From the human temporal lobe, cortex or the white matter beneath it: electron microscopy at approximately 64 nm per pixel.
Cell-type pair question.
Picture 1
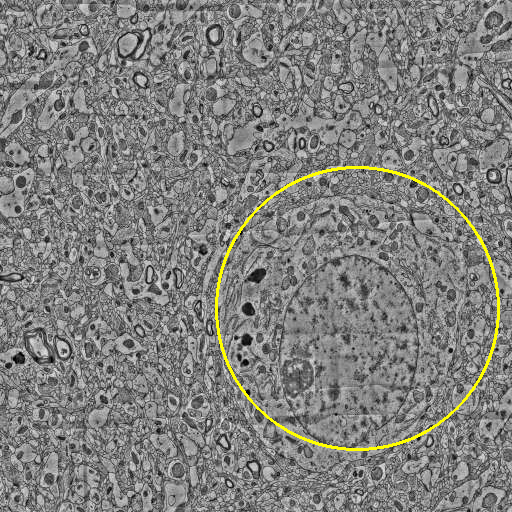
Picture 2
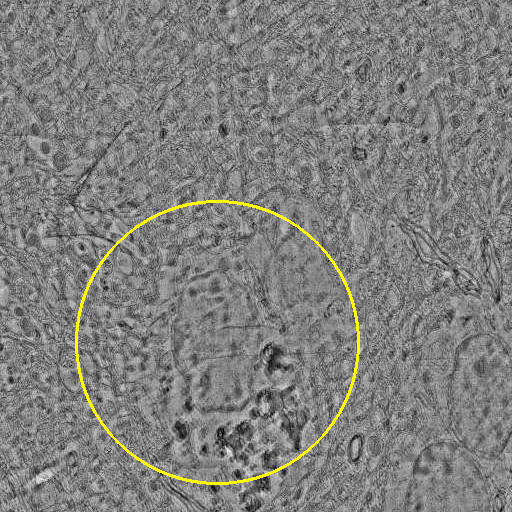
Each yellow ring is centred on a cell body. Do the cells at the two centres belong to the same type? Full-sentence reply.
No, the two cells belong to two types.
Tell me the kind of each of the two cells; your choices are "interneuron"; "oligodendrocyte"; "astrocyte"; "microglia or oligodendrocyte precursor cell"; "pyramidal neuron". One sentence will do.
The ringed cell is an interneuron in the first picture and an astrocyte in the second picture.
